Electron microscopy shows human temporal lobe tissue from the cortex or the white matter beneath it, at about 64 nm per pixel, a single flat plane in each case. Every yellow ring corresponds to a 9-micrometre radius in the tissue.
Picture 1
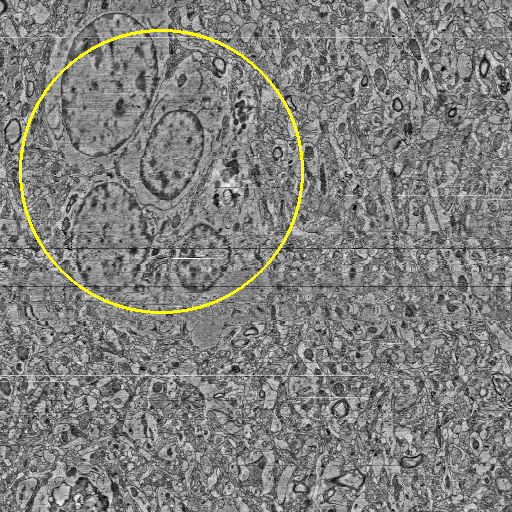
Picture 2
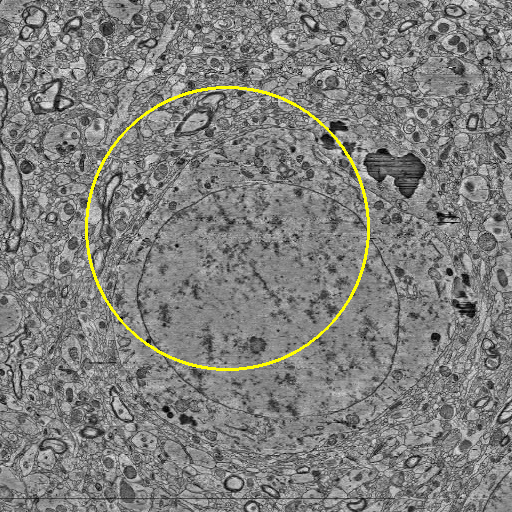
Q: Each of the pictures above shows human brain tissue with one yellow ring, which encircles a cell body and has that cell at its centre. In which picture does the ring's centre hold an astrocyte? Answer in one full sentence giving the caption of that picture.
Picture 1 is the one whose ring is centred on the cell in question.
